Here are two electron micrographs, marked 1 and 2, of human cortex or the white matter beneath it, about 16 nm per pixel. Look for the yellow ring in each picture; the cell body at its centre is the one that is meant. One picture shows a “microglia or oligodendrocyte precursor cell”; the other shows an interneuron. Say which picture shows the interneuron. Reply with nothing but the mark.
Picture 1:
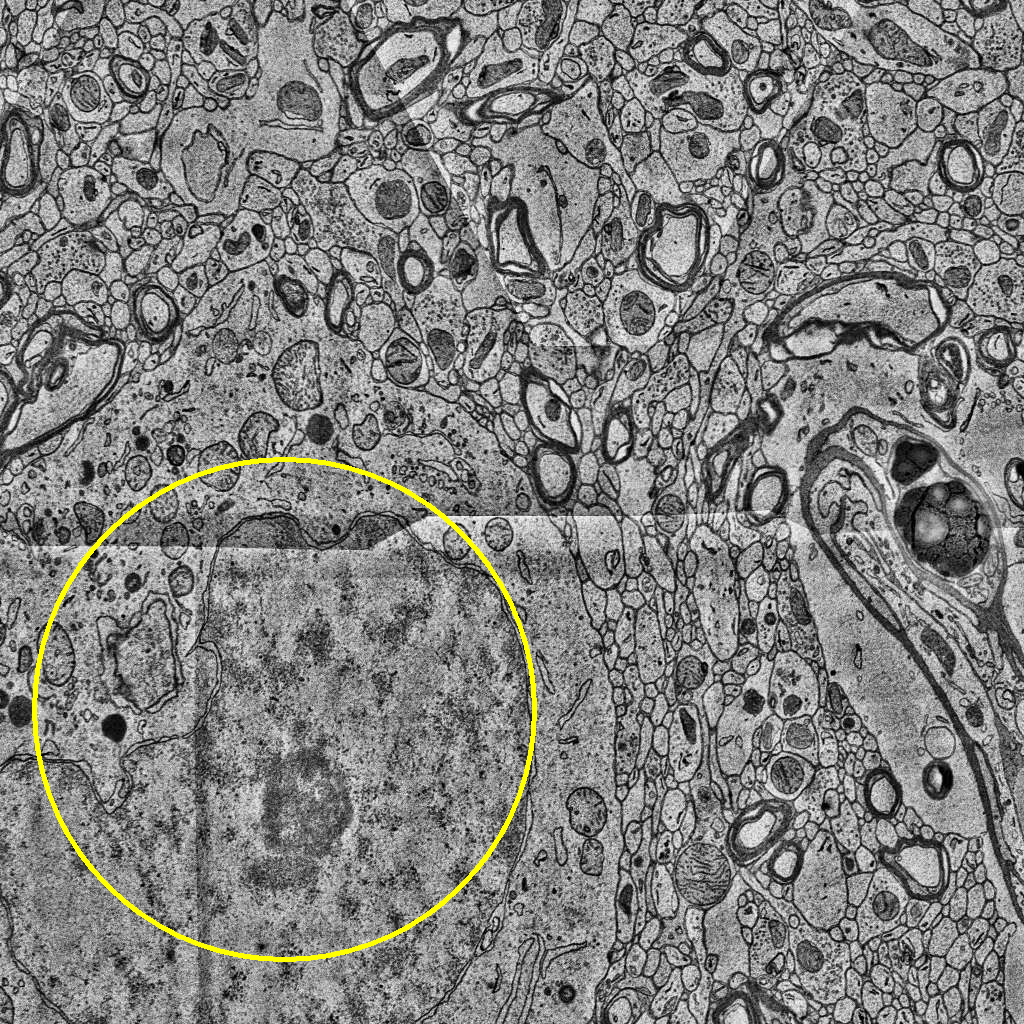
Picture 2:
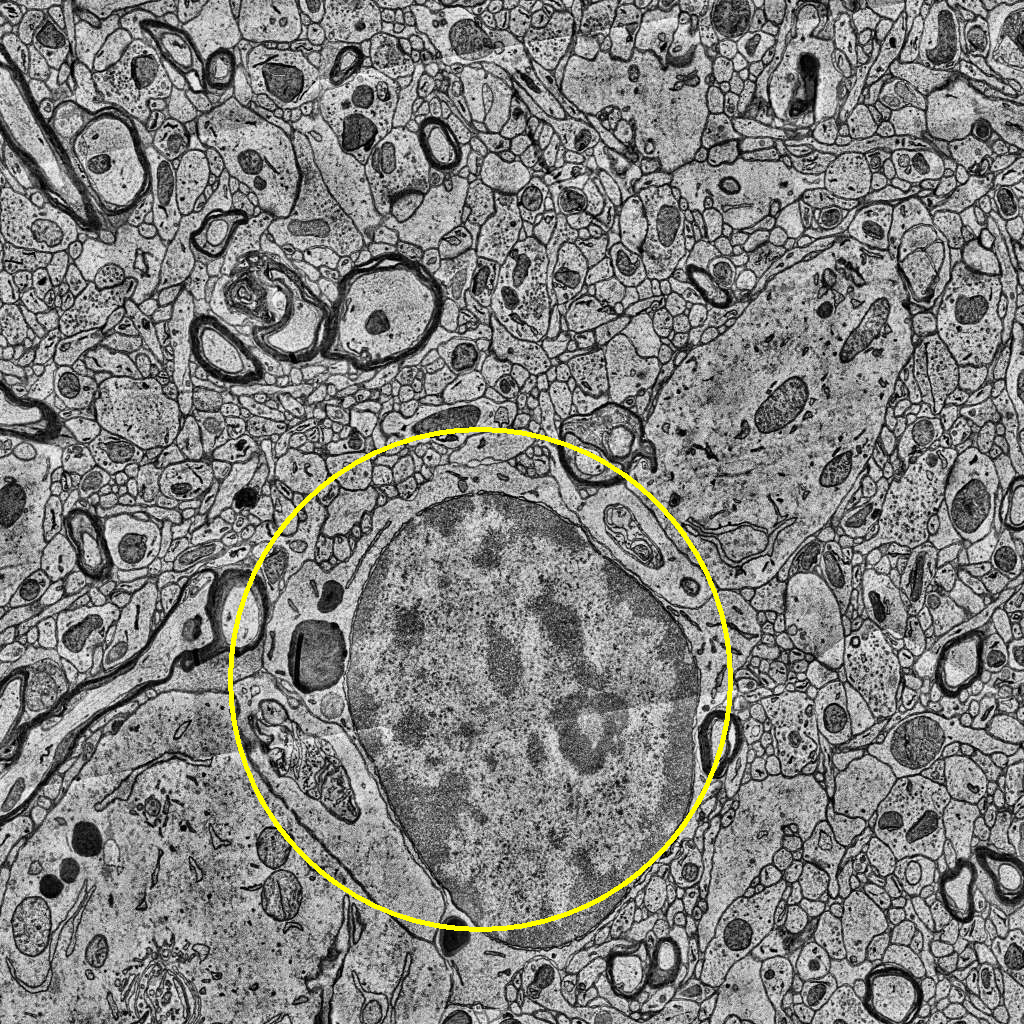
1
